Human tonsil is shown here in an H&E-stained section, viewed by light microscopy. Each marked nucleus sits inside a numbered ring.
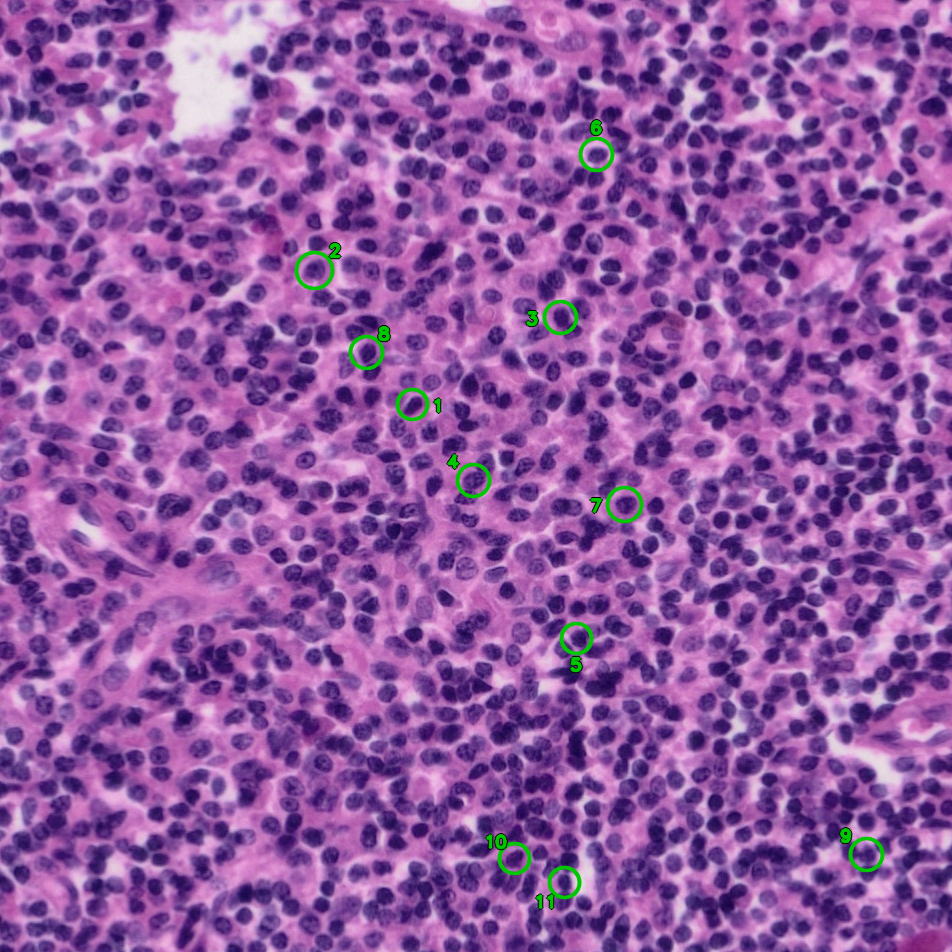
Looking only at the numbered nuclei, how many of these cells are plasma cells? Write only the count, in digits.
6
